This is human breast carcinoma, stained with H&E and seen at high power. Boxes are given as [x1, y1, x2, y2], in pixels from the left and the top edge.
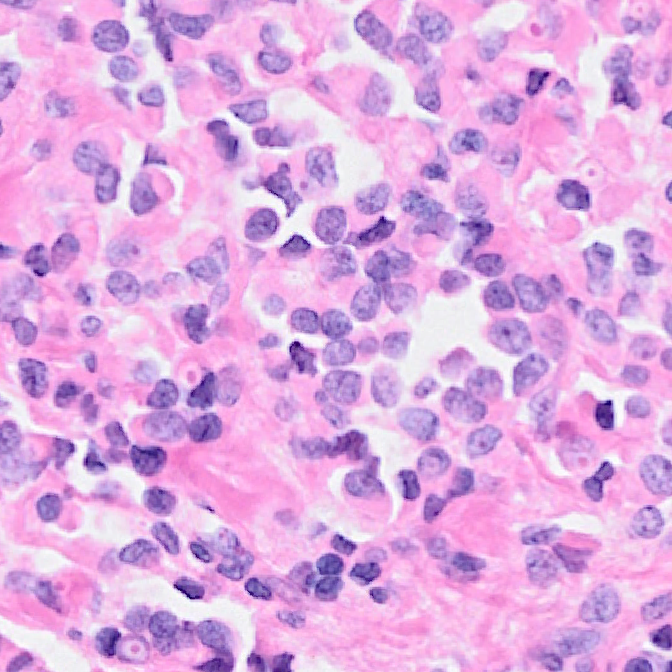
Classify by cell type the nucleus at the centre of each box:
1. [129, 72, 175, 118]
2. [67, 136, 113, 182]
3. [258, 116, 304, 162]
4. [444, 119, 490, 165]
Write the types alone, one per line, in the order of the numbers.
carcinoma cell
carcinoma cell
carcinoma cell
endothelial cell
